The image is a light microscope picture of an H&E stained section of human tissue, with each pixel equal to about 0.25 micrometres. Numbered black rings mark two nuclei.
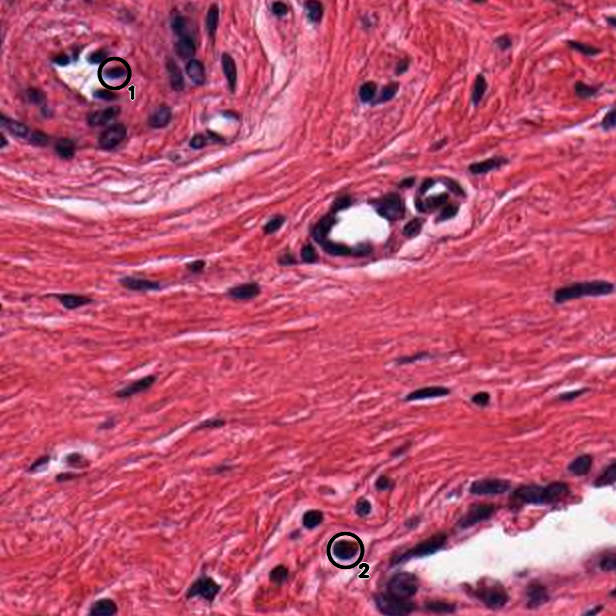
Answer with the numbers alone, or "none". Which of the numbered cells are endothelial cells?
1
